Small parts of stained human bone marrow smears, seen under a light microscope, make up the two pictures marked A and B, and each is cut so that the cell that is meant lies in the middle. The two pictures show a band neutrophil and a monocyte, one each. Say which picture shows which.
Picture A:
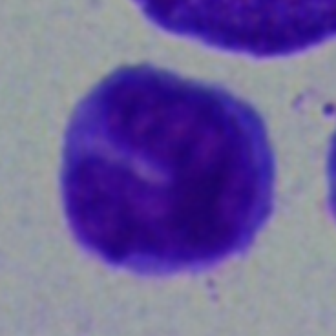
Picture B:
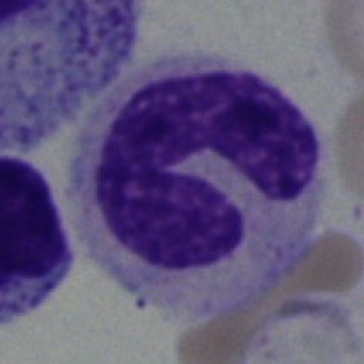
A: monocyte
B: band neutrophil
